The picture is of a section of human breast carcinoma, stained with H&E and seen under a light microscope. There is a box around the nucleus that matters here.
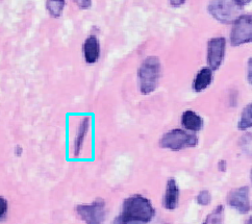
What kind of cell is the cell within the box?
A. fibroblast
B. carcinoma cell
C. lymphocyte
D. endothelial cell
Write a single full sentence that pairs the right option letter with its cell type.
In this case the cell within the box is a fibroblast, so option A is correct.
